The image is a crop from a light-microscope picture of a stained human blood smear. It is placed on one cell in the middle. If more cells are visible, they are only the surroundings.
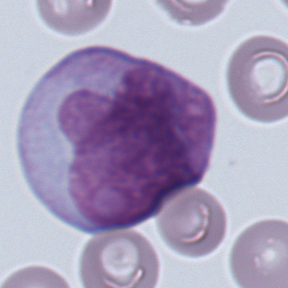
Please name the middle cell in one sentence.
The cell at the central position in this crop is an atypical promyelocyte.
